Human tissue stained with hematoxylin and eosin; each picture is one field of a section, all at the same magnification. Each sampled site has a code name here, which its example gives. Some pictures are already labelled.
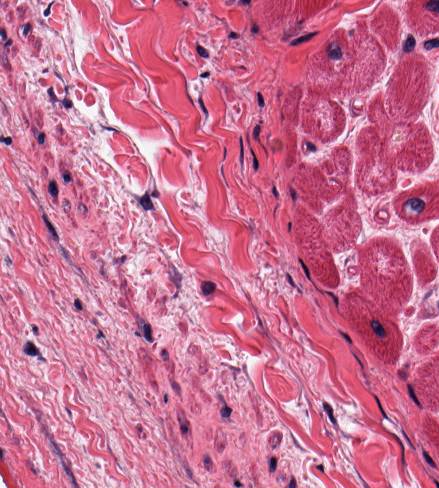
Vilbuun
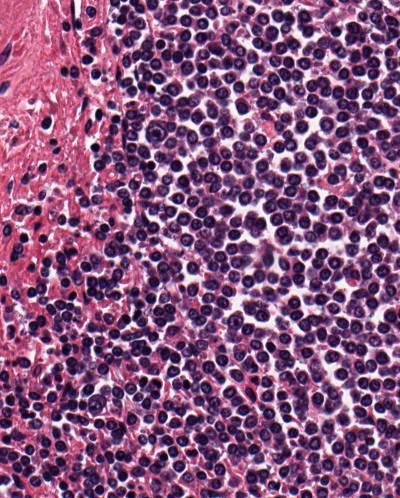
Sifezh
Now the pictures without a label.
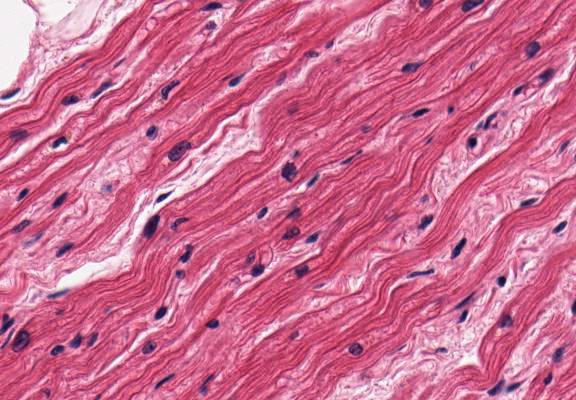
Vilbuun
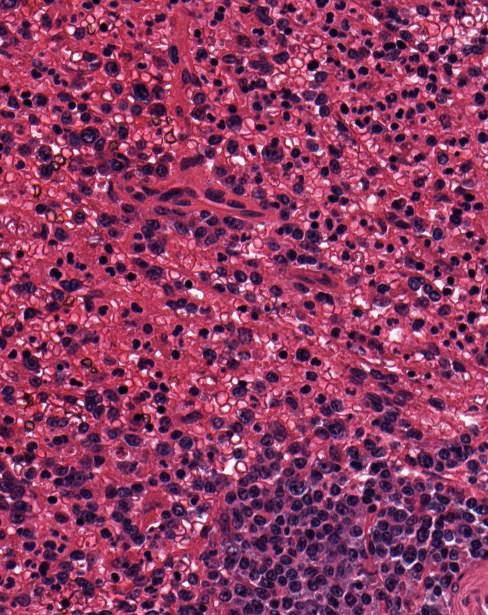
Sifezh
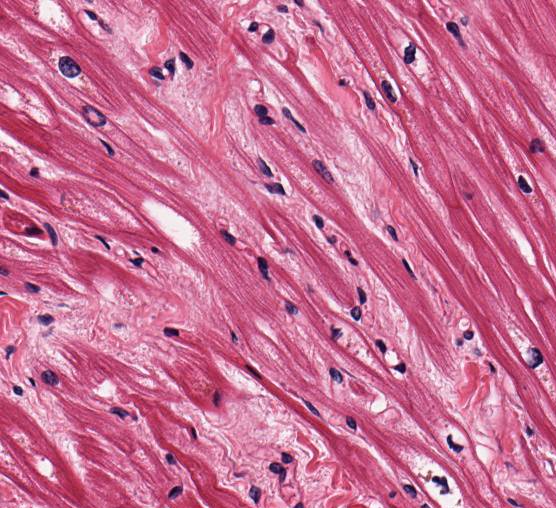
Vilbuun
